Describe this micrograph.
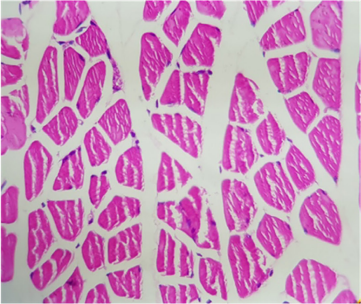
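This is skeletal muscle in cross-section, showing angular to polygonal muscle fibers with pink cytoplasm grouped into bundles. Small purple nuclei sit at the periphery of the fibers, and pale gaps separate neighbouring fibers and bundles.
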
